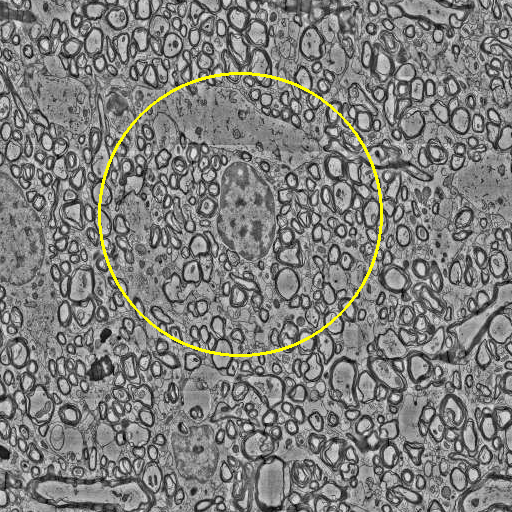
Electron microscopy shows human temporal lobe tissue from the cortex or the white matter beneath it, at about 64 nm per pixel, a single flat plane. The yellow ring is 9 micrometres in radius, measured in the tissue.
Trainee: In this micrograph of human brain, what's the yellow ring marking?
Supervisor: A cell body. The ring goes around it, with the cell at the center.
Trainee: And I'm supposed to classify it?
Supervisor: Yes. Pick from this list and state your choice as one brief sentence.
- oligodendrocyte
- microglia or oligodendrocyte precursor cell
The cell at the ring's center is a microglial cell or oligodendrocyte precursor cell.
